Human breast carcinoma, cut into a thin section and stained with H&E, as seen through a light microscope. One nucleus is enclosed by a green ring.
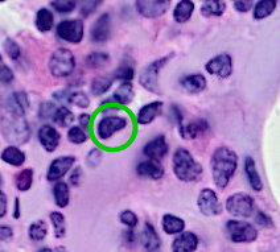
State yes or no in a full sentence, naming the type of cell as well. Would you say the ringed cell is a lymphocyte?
Yes, in this section the ringed cell is a lymphocyte.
